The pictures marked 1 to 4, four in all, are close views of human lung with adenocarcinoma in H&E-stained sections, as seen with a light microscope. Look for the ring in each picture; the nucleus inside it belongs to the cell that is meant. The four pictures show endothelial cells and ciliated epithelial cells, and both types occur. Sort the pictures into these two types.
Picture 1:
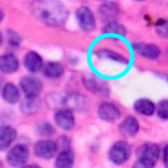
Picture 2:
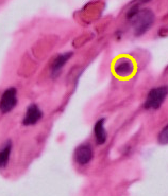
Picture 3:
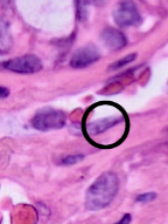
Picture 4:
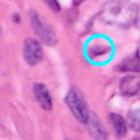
1: endothelial cell
2: endothelial cell
3: endothelial cell
4: ciliated epithelial cell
